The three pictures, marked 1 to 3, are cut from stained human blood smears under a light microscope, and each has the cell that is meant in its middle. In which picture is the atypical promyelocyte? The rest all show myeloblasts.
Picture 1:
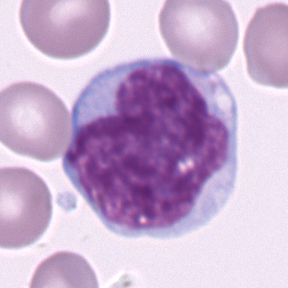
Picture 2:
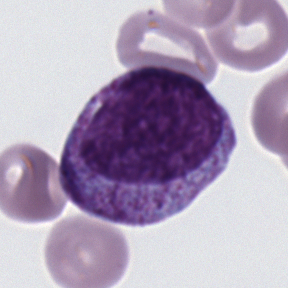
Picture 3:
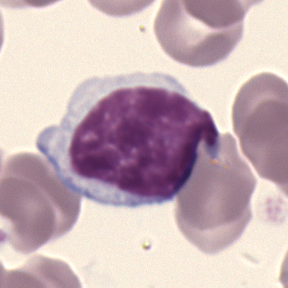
2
